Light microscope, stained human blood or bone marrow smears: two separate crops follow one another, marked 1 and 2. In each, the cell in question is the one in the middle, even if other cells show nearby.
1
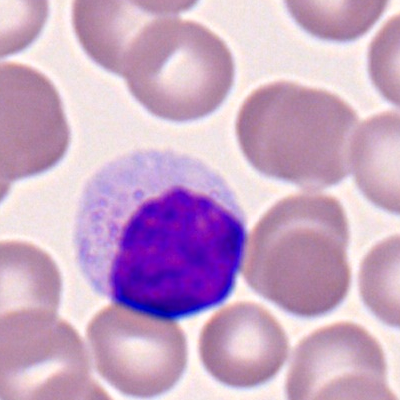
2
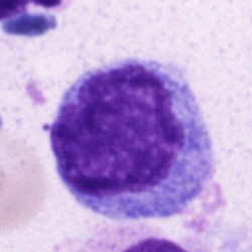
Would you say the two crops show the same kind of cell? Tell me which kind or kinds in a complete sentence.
No, crop 1 shows a lymphocyte, and it is crop 2 that shows a blast.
